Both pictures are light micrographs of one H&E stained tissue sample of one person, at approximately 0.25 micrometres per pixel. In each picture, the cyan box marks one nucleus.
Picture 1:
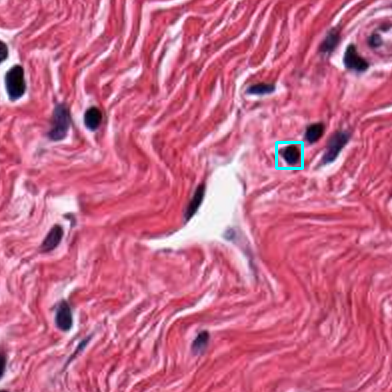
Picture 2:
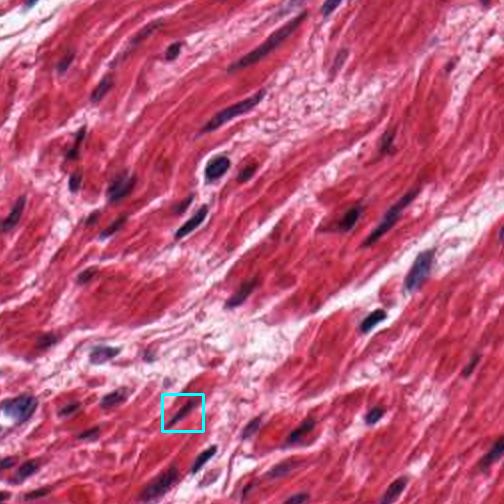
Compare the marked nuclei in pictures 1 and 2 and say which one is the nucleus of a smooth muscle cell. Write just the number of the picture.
2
